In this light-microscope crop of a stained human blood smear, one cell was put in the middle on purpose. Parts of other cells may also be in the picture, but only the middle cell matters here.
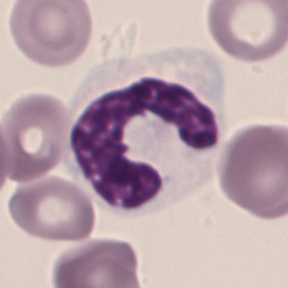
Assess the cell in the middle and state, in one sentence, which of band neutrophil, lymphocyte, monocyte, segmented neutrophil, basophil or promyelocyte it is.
The central element of this crop is a cell, namely a band neutrophil.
